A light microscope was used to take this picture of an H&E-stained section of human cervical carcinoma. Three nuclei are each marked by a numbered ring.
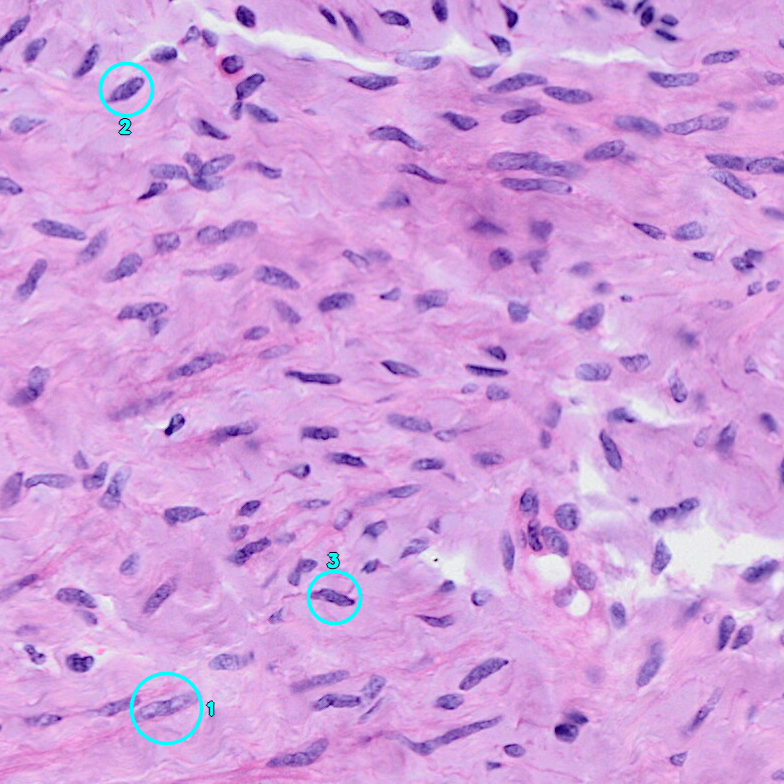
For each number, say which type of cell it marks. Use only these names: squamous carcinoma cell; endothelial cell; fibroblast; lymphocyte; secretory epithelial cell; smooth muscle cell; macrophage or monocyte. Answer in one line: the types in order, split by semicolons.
smooth muscle cell; fibroblast; fibroblast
